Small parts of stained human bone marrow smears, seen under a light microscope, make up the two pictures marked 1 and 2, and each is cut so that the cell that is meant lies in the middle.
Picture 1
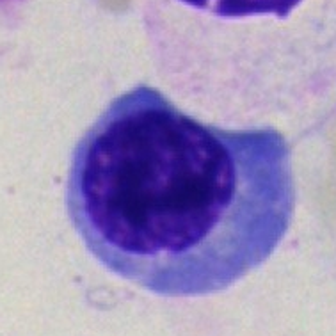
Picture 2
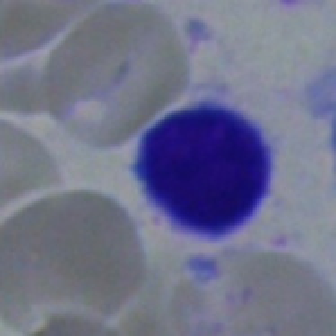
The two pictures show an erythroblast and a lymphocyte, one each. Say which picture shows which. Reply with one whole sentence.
Picture 2 shows a lymphocyte, while picture 1 shows an erythroblast.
